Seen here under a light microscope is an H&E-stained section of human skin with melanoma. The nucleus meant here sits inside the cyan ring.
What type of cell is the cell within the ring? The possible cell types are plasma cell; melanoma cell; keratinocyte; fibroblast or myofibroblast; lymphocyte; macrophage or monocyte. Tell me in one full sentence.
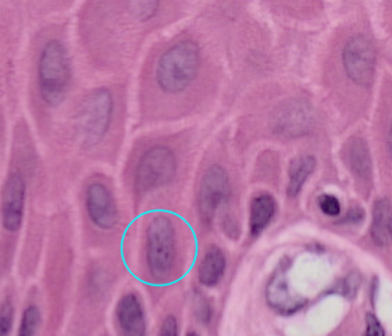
It is as a keratinocyte that the cell within the ring is classified.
